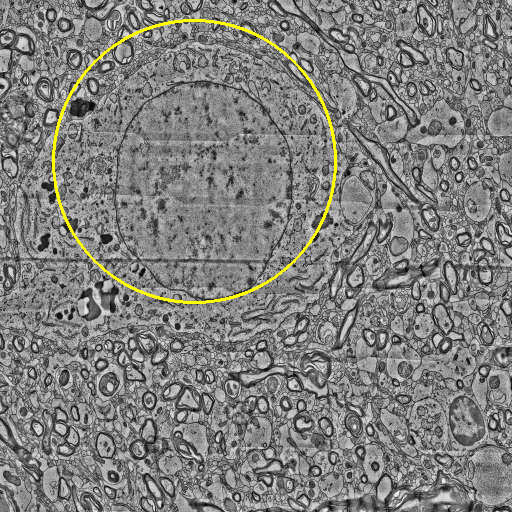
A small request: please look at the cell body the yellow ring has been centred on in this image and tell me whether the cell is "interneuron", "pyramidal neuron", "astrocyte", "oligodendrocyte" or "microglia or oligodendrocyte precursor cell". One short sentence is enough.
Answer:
The cell marked by the ring is a pyramidal neuron.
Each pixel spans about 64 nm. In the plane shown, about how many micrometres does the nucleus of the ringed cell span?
About 14 micrometres by about 12 micrometres in this plane.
